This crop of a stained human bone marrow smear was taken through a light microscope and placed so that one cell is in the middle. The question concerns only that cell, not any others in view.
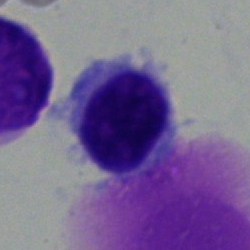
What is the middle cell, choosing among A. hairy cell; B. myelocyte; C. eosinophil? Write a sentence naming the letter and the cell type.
The central cell, a hairy cell, is correctly identified by option A.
